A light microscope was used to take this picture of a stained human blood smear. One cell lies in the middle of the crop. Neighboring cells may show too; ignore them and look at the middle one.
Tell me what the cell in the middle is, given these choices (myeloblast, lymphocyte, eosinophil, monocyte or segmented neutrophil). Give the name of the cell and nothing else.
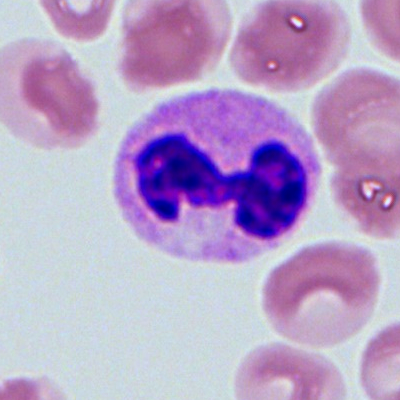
segmented neutrophil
